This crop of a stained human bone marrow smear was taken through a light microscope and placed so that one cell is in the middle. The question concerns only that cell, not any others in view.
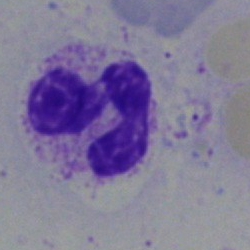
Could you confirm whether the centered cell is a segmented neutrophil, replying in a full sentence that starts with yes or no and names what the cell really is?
Yes, the cell in the middle is a segmented neutrophil.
